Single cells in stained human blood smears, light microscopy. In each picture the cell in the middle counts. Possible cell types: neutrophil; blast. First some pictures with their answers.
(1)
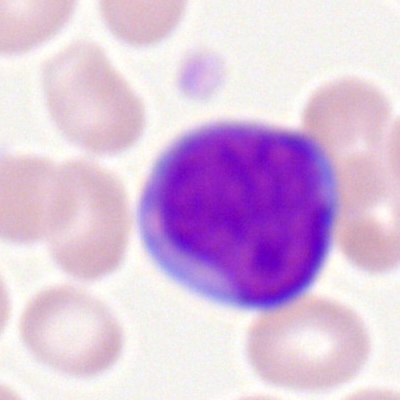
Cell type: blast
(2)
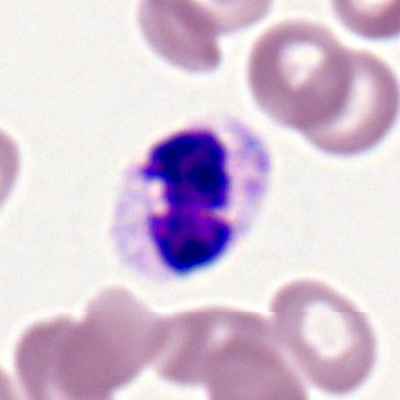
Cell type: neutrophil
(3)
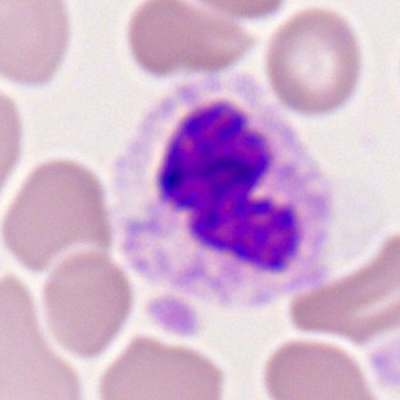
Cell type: neutrophil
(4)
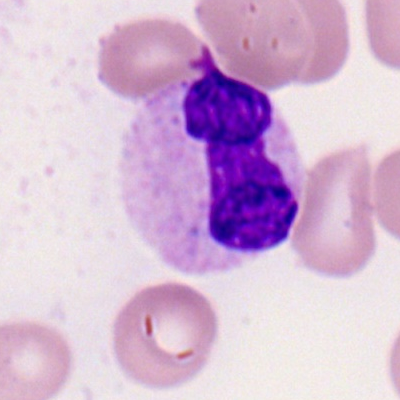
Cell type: neutrophil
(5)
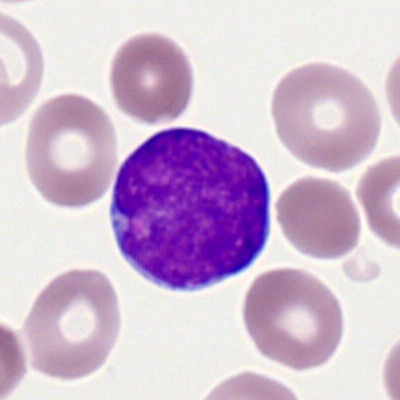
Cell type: blast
